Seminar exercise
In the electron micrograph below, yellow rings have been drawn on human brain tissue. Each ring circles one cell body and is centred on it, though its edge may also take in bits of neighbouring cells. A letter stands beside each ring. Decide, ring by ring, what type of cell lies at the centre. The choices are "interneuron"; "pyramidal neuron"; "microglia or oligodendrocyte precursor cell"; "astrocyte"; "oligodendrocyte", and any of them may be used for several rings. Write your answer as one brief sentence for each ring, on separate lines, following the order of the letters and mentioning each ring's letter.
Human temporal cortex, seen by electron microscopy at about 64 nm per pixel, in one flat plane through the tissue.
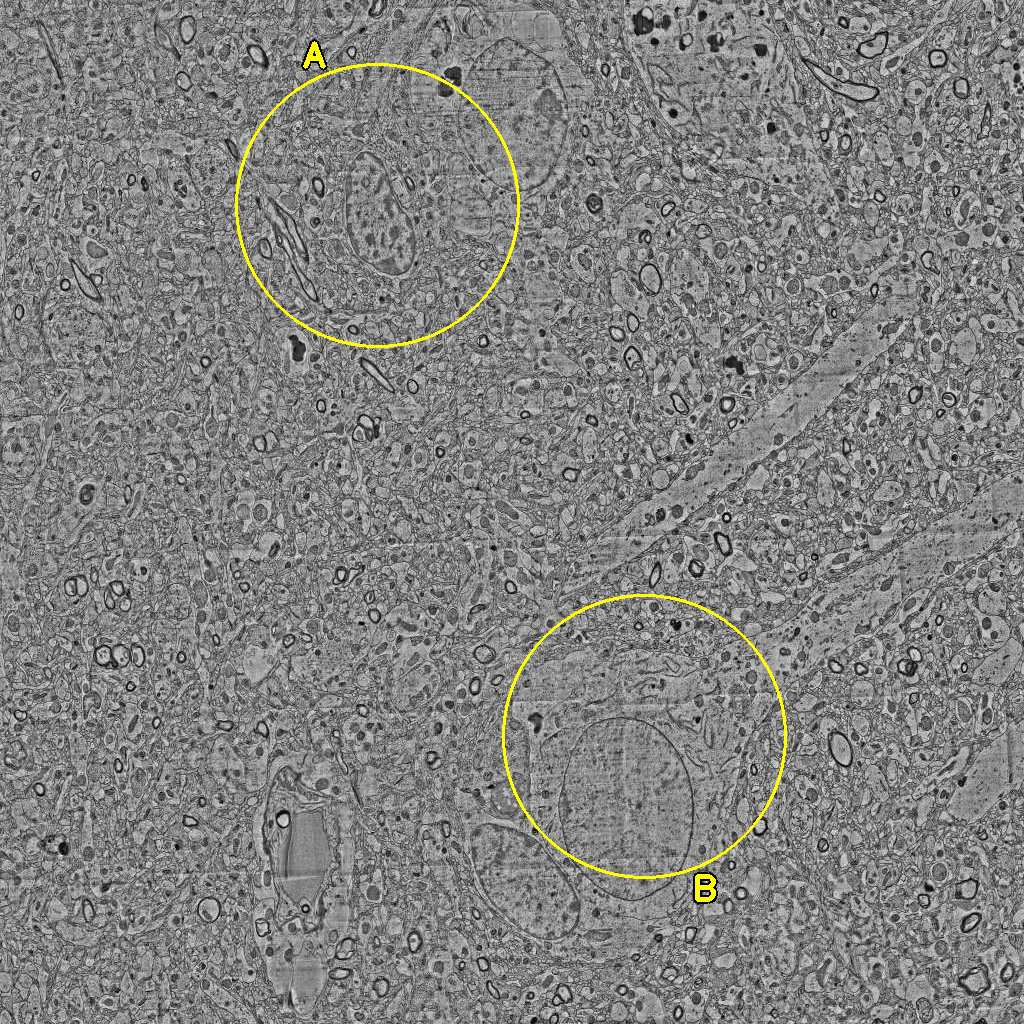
The cell in the middle of ring A is a microglial cell or oligodendrocyte precursor cell.
The cell in the middle of ring B is a pyramidal neuron.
